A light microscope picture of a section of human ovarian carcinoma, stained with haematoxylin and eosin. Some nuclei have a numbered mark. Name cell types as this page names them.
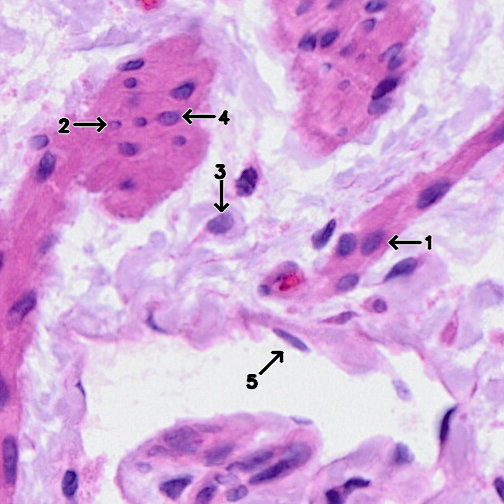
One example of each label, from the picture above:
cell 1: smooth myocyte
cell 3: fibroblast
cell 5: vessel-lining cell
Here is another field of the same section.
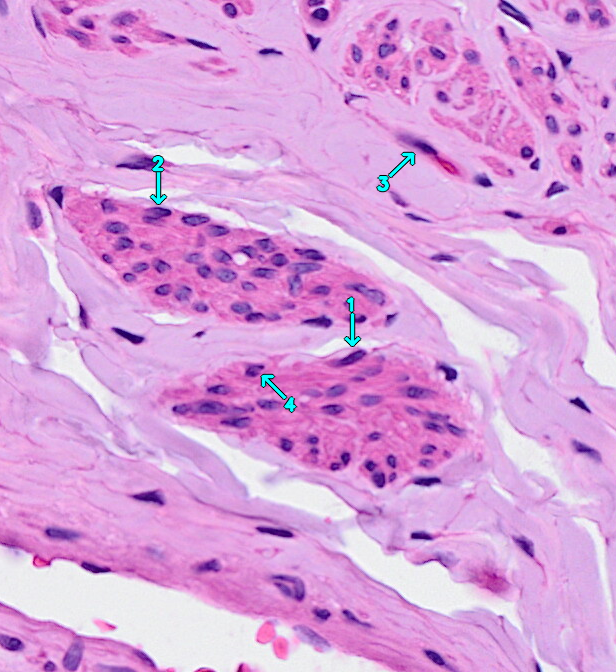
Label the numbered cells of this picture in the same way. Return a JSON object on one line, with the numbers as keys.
{"1": "smooth myocyte", "2": "smooth myocyte", "3": "vessel-lining cell", "4": "smooth myocyte"}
